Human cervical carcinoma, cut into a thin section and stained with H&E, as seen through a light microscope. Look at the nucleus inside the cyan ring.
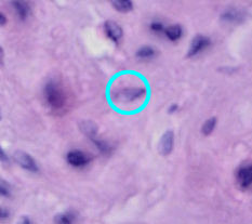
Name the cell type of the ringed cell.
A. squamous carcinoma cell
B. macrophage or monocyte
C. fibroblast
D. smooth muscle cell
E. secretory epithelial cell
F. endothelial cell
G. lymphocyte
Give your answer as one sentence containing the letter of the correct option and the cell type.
Option C is the right choice, for the ringed cell is a fibroblast.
